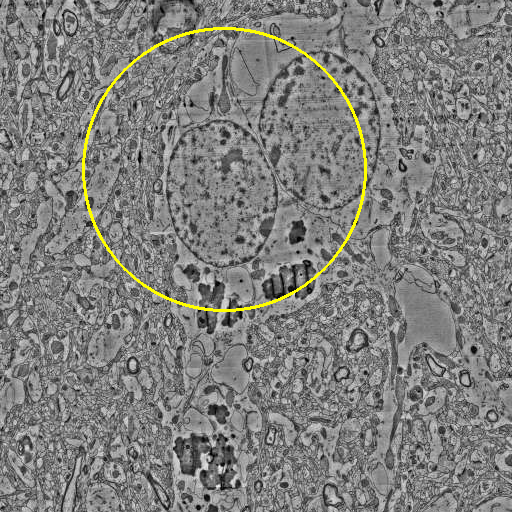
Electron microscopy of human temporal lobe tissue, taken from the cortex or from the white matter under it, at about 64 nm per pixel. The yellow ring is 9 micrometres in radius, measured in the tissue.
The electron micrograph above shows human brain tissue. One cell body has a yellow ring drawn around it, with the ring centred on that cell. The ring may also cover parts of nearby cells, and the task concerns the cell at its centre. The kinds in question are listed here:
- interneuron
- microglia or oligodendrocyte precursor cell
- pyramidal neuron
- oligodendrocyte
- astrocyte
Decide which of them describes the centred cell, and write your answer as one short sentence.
The centred cell is an astrocyte.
